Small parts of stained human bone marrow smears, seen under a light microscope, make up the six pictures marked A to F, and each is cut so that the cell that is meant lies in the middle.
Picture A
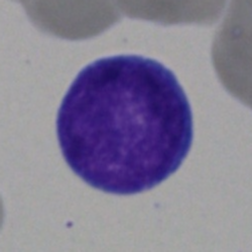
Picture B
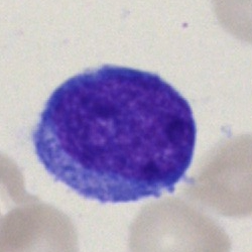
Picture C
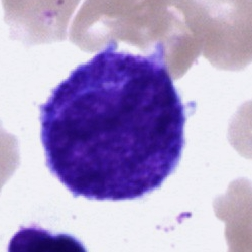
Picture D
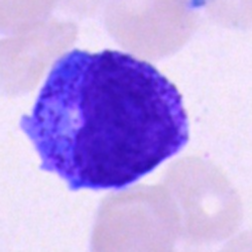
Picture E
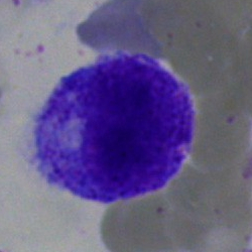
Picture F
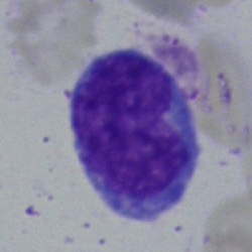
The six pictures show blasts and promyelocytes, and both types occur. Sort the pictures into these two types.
A: blast
B: blast
C: promyelocyte
D: promyelocyte
E: promyelocyte
F: blast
